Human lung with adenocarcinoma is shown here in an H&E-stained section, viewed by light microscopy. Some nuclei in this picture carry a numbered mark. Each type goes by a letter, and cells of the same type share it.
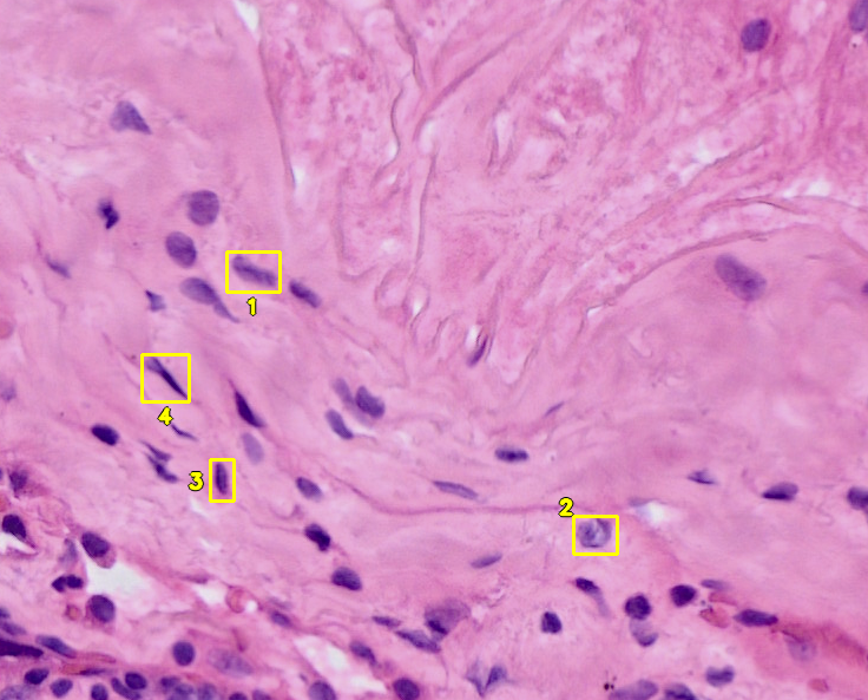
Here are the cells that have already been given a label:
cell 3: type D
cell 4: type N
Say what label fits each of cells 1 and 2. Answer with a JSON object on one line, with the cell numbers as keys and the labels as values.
{"1": "type N", "2": "type N"}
